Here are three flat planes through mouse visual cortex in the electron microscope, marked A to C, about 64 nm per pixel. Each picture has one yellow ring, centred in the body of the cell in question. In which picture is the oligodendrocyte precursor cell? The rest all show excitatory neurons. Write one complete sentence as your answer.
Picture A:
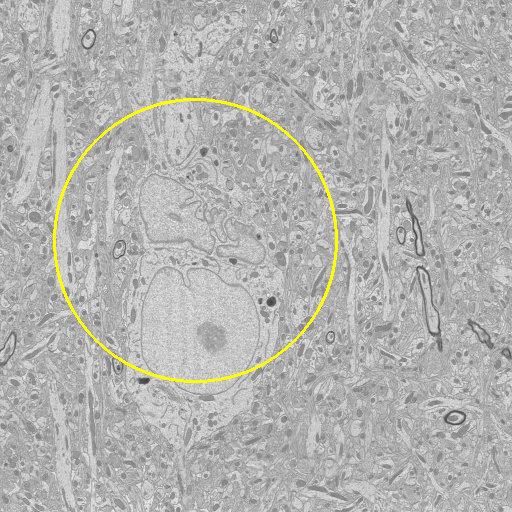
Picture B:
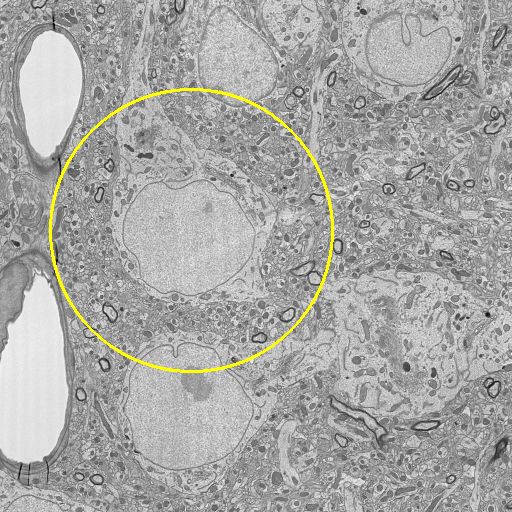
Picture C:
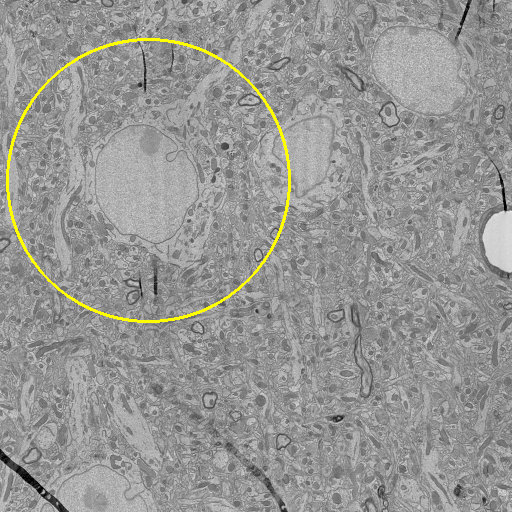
The picture with the oligodendrocyte precursor cell is A.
